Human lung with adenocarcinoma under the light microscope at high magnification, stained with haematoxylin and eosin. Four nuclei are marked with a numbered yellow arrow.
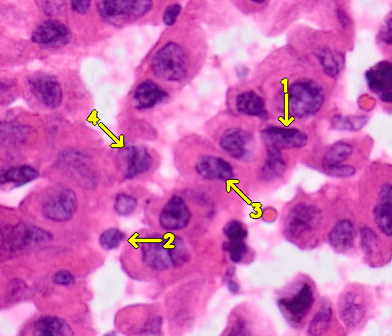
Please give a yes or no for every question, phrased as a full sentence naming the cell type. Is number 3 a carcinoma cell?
Yes, the cell with the number 3 is a carcinoma cell.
